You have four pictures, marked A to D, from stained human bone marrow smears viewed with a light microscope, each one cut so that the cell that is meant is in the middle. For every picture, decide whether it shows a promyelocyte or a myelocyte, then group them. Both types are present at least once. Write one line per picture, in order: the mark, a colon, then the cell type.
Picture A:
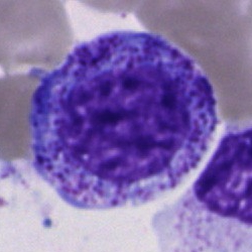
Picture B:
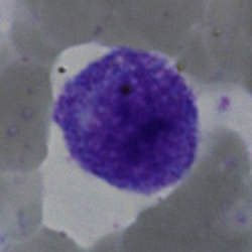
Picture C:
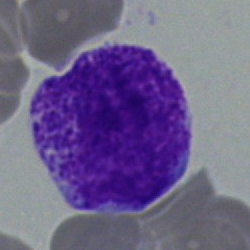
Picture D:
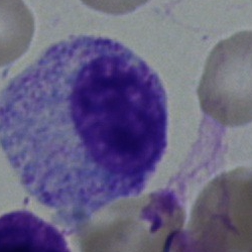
A: promyelocyte
B: promyelocyte
C: myelocyte
D: myelocyte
